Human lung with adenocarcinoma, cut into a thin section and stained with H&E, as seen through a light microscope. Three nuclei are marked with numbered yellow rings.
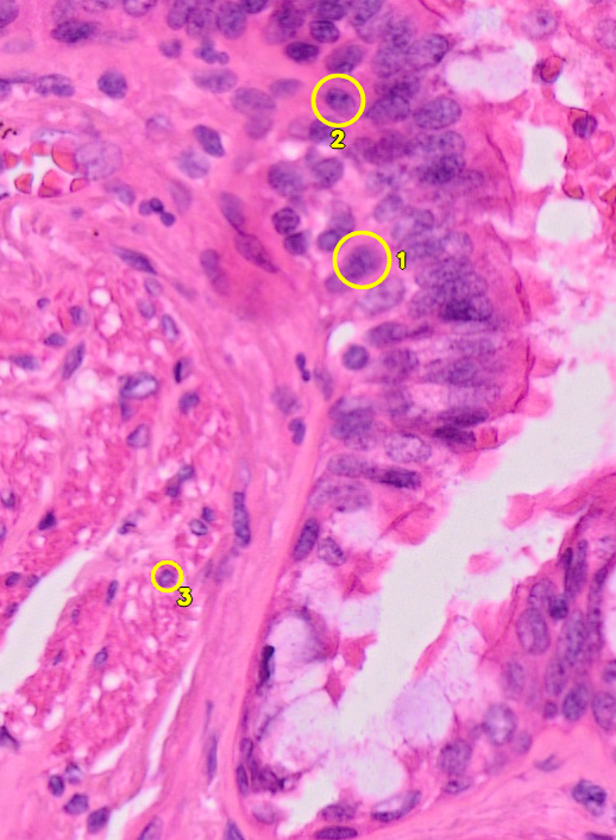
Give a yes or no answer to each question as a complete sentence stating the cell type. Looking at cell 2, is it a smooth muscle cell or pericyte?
No, the cell bearing the number 2 is a ciliated epithelial cell, not a smooth muscle cell or pericyte.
